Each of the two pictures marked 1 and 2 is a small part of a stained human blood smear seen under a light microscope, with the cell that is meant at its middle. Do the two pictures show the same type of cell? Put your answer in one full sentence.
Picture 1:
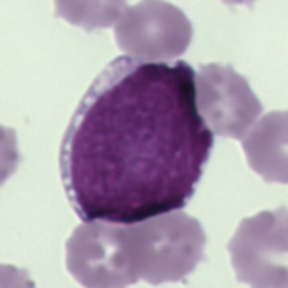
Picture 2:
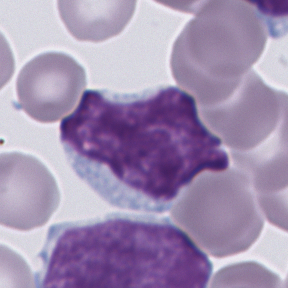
No, the types are not the same, since picture 1 shows a myeloblast and picture 2 a typical lymphocyte.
